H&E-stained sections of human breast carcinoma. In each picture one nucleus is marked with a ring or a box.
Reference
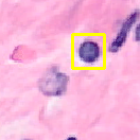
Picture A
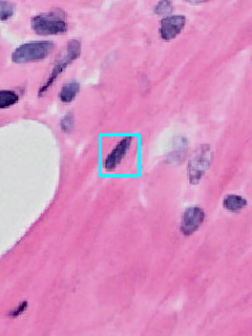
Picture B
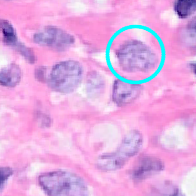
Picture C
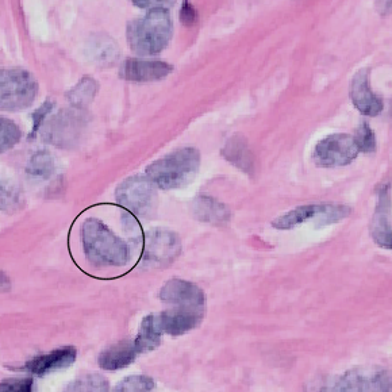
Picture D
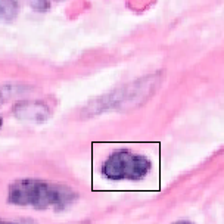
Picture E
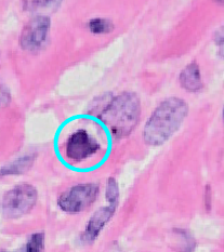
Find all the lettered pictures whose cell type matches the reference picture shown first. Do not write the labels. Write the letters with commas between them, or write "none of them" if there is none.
A, D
